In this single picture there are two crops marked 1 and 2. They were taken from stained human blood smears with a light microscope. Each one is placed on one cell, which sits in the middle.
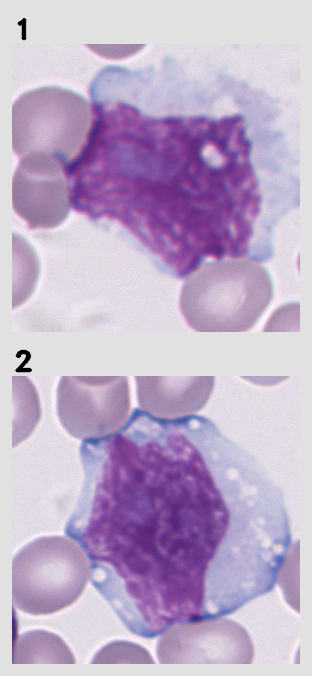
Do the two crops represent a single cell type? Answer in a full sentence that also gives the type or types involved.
Yes, the cells centred in the two crops are both myeloblasts.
